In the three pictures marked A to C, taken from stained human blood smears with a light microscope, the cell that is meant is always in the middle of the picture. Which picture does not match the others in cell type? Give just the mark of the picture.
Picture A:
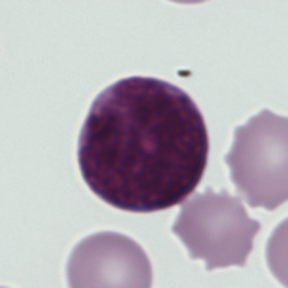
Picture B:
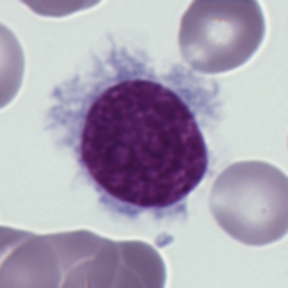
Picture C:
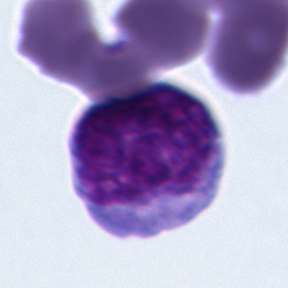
B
